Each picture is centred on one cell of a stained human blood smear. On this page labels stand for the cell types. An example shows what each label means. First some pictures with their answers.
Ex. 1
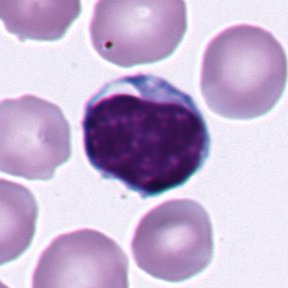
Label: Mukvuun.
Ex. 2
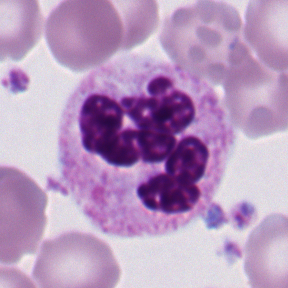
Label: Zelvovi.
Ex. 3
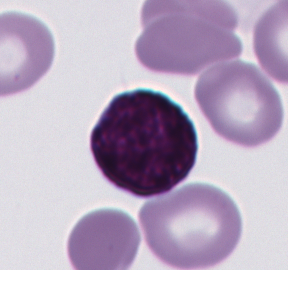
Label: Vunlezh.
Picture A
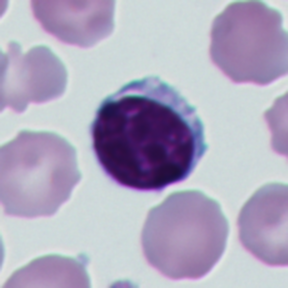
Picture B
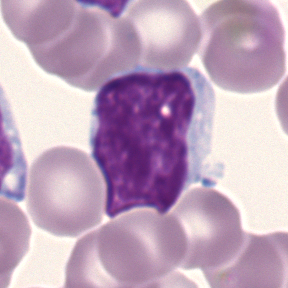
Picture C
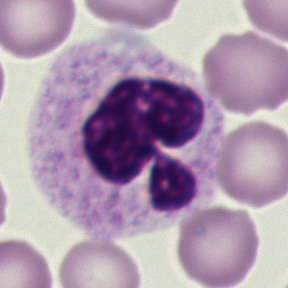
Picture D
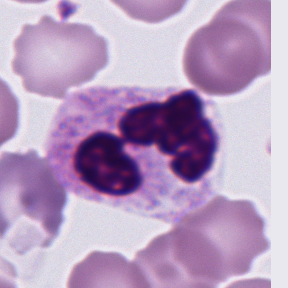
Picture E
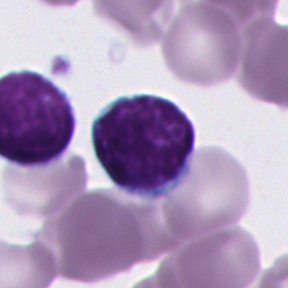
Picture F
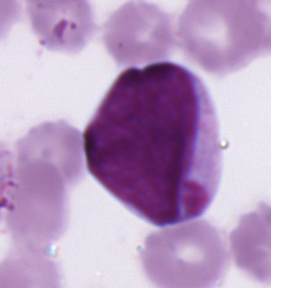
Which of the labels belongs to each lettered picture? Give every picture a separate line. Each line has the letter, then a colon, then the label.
A: Mukvuun.
B: Mukvuun.
C: Zelvovi.
D: Zelvovi.
E: Mukvuun.
F: Vunlezh.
